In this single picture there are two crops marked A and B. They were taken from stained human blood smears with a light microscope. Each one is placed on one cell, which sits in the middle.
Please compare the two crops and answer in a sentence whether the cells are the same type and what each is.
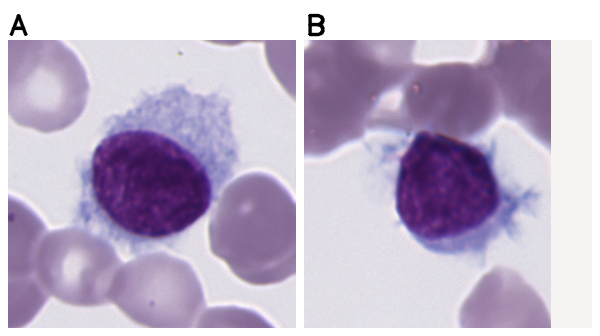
Yes, in both crops, hairy cells are the cells at the middle.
